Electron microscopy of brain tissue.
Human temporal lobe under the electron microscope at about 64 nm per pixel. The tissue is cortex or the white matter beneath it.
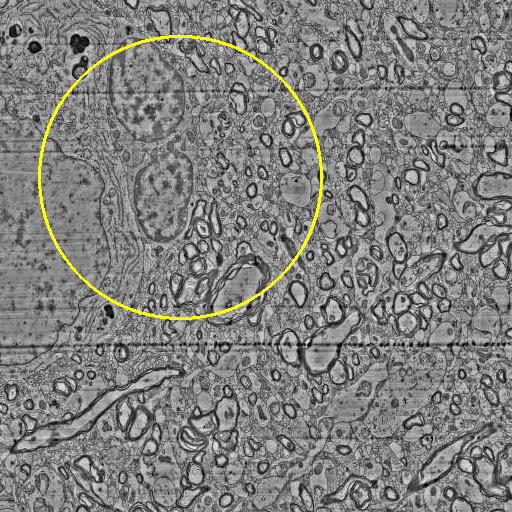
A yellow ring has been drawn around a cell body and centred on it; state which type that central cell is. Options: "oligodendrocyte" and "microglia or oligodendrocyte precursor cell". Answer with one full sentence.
The cell at the middle of the yellow ring is an oligodendrocyte in this picture.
